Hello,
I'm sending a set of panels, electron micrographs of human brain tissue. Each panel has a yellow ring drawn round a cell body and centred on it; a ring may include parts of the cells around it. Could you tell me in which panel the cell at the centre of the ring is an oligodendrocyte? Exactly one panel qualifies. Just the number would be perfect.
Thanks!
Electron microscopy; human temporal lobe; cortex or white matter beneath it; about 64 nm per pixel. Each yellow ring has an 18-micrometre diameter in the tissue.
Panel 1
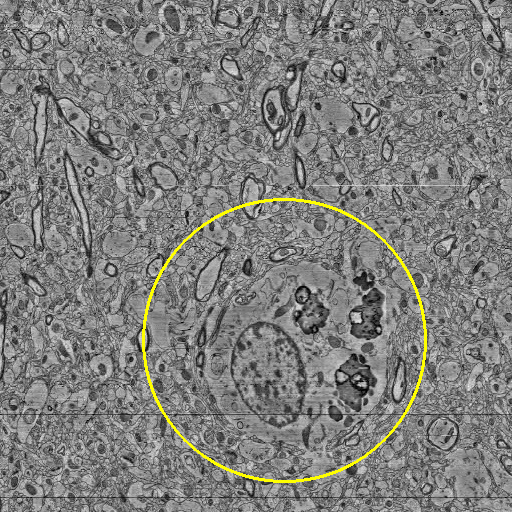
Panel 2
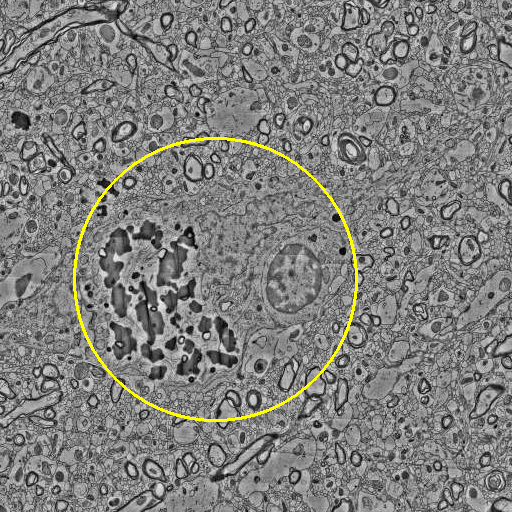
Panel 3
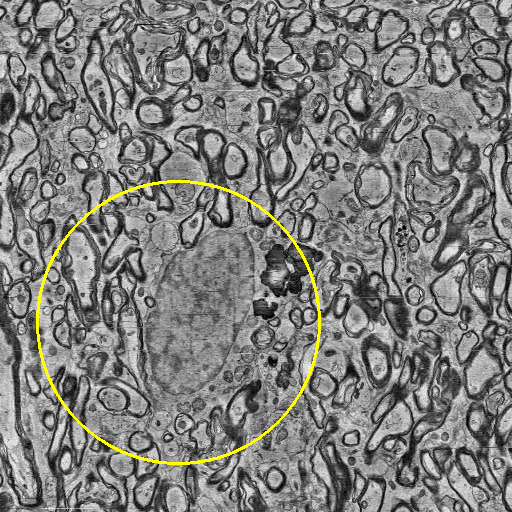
3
